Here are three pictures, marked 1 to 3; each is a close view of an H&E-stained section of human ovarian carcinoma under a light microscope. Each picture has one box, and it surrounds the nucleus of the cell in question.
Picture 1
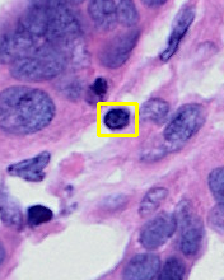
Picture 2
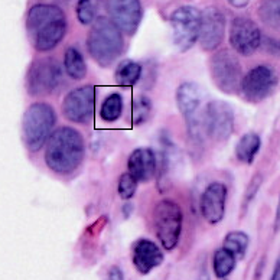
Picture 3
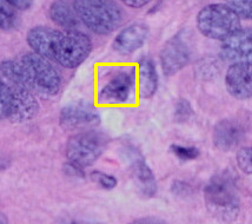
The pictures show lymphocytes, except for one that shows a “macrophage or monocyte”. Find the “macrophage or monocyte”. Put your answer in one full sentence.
The picture with the “macrophage or monocyte” is 3.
